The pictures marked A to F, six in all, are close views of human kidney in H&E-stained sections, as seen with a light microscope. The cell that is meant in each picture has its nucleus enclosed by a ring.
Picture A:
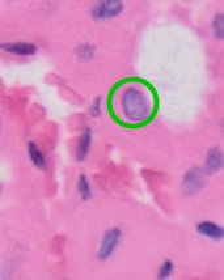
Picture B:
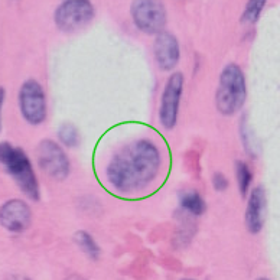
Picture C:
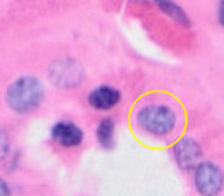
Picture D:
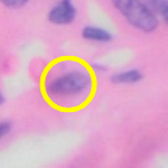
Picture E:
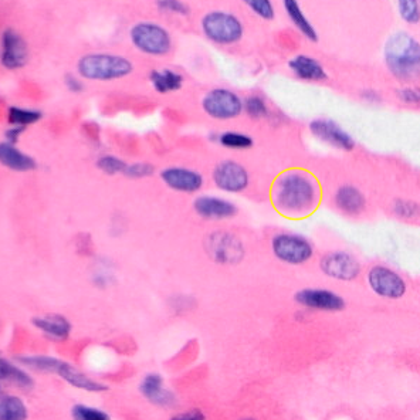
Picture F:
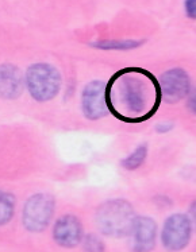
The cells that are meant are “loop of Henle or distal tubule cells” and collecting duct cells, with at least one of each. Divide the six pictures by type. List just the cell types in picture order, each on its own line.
loop of Henle or distal tubule cell
collecting duct cell
loop of Henle or distal tubule cell
collecting duct cell
loop of Henle or distal tubule cell
collecting duct cell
